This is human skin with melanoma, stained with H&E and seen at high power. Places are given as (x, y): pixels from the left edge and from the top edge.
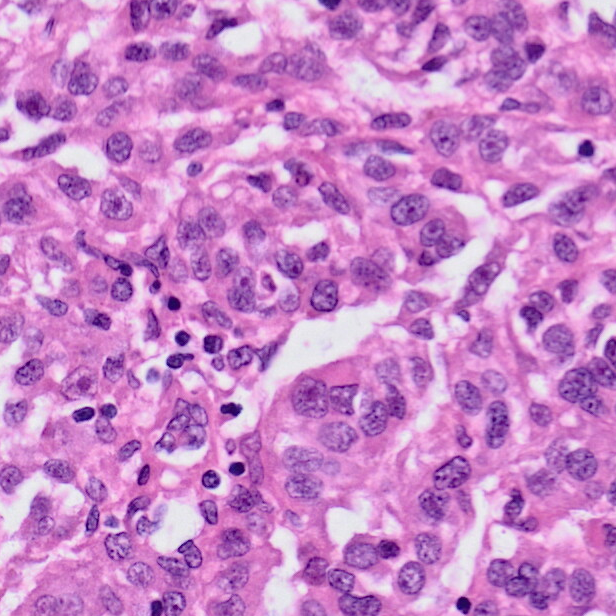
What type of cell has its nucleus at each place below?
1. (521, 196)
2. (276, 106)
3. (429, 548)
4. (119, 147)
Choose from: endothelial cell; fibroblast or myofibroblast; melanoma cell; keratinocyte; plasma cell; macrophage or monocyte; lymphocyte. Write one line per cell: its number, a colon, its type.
1: melanoma cell
2: lymphocyte
3: melanoma cell
4: melanoma cell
